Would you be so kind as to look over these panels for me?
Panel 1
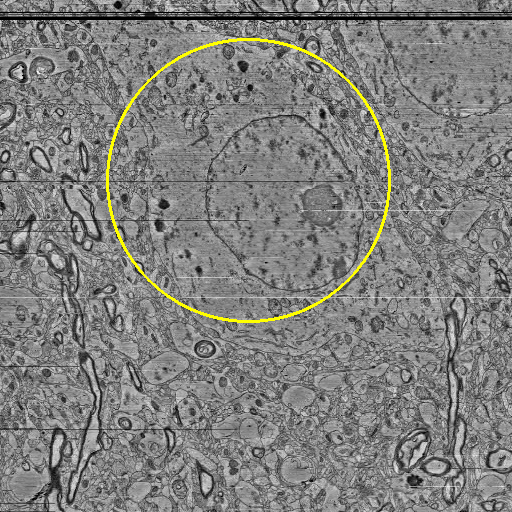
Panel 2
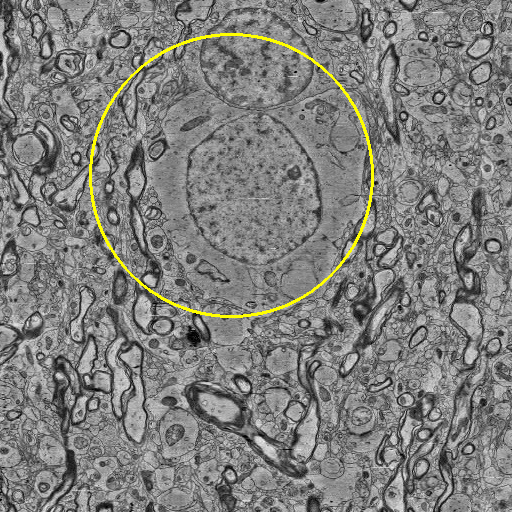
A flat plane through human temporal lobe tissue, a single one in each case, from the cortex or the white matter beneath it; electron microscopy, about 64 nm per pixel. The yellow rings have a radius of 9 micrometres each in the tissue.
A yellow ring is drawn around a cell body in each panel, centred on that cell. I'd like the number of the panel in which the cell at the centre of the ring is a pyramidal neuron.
1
